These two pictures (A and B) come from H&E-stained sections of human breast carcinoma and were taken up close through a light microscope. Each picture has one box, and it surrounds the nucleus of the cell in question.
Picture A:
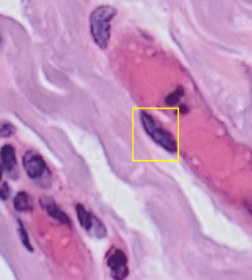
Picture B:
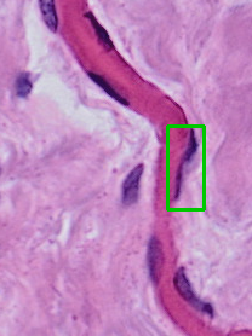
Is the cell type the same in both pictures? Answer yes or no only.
yes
